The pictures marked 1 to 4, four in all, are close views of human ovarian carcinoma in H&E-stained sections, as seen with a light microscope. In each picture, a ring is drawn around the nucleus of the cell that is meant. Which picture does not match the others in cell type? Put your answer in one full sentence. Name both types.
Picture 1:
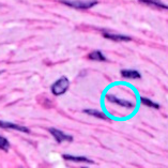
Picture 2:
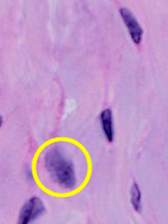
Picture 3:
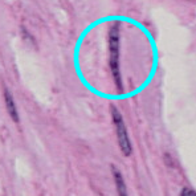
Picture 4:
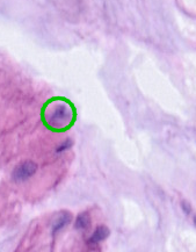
Picture 4 is the odd one out: it shows a smooth muscle cell, while the others show fibroblasts.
